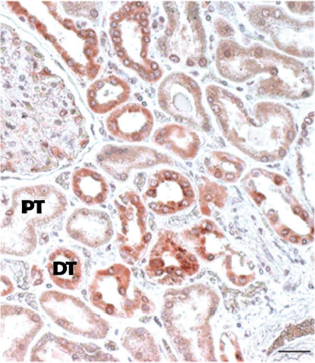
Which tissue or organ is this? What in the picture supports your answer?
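Many tubules cut in cross-section lined by cuboidal epithelium. A rounded glomerular tuft at upper left. That points to this answer: renal tissue.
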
